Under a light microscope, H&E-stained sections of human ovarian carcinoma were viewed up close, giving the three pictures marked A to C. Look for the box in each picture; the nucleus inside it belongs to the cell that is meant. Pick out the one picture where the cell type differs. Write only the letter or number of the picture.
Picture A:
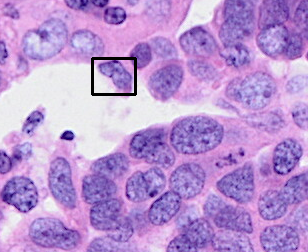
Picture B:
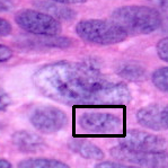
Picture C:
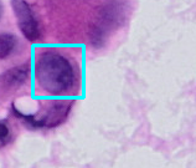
A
